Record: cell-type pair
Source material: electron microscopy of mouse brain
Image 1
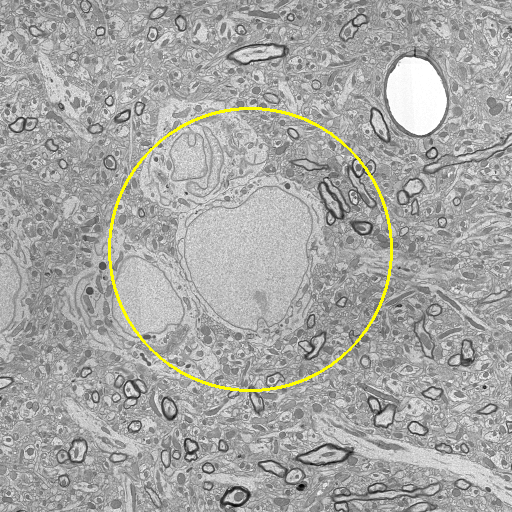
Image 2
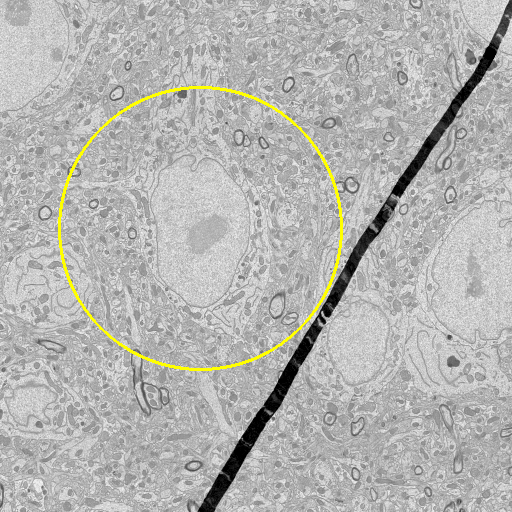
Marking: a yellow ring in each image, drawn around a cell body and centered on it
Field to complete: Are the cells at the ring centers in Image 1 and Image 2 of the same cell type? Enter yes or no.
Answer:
no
